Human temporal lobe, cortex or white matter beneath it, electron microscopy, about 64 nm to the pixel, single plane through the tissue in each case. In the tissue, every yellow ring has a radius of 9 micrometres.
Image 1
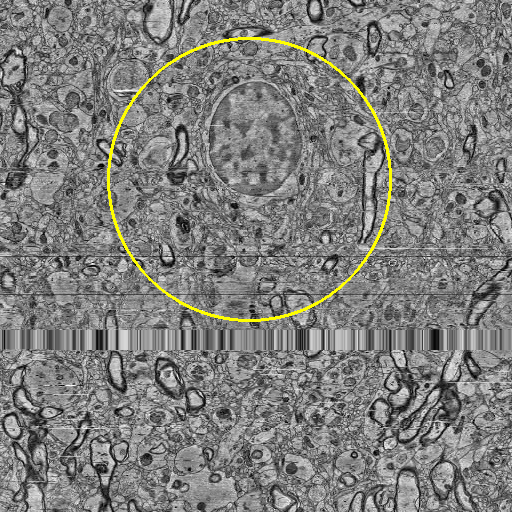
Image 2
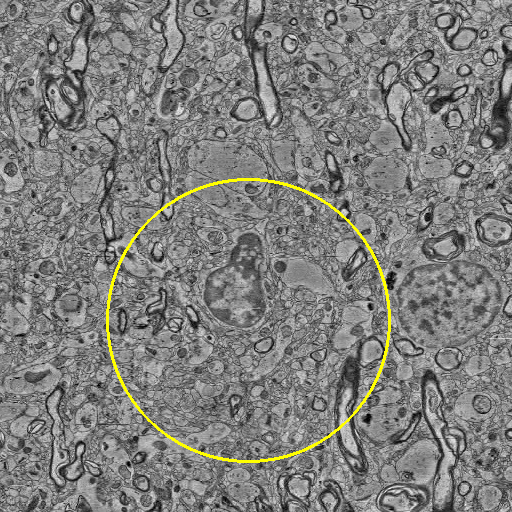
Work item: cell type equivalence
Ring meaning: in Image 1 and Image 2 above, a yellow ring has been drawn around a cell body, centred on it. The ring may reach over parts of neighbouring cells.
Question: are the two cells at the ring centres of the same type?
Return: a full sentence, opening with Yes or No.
Yes, the two centred cells are of the same type.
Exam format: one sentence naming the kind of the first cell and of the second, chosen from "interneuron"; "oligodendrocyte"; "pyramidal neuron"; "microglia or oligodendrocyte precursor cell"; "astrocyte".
Each cell at the centre of a ring is a microglial cell or oligodendrocyte precursor cell.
